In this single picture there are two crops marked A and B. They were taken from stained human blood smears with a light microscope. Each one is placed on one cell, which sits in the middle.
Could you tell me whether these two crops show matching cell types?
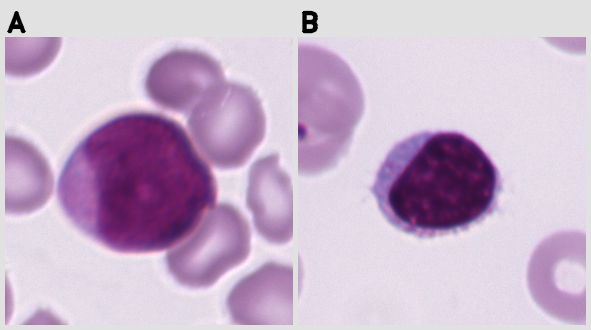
no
